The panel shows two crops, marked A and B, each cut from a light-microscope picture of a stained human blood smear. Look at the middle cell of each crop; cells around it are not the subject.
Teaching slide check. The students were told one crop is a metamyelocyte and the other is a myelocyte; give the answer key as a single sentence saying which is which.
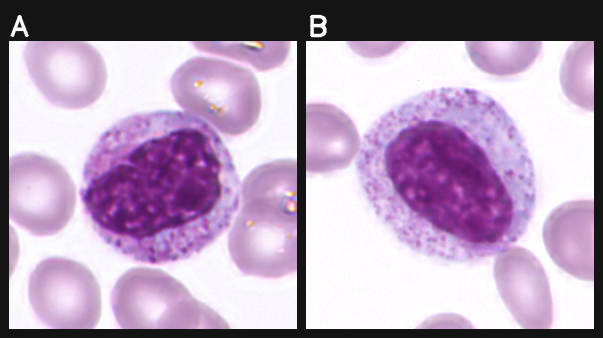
The correct labels are a metamyelocyte for crop A and a myelocyte for crop B.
